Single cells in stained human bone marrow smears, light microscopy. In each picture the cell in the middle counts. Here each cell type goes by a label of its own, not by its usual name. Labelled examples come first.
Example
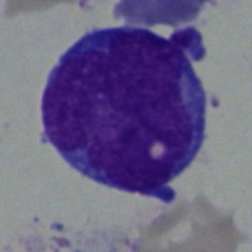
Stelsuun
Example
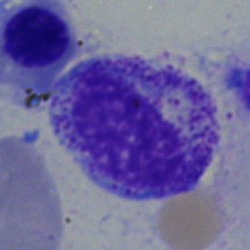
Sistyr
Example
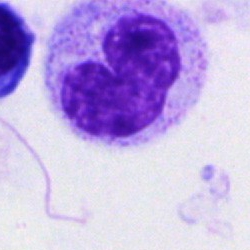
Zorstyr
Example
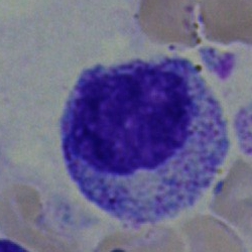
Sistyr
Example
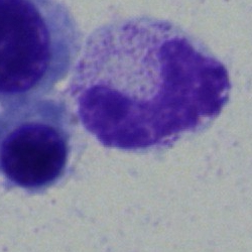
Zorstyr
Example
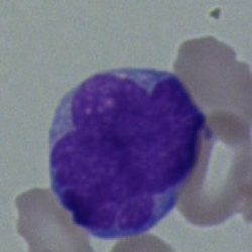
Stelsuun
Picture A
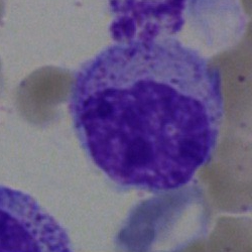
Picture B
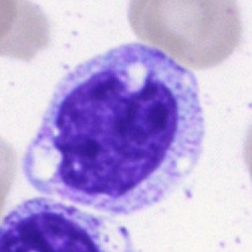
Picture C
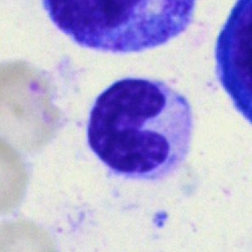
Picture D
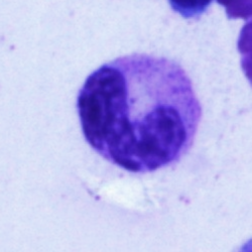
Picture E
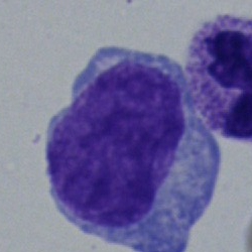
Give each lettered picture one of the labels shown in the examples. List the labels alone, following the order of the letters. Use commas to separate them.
Sistyr, Sistyr, Zorstyr, Zorstyr, Stelsuun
